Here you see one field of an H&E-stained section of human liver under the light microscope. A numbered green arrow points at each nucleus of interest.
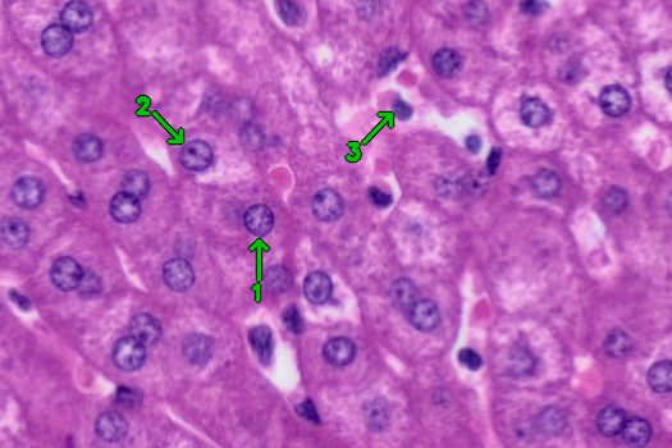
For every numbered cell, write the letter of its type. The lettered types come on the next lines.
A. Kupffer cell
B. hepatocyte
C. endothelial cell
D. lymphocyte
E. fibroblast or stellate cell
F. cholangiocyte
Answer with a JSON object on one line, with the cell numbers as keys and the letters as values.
{"1": "B", "2": "B", "3": "D"}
